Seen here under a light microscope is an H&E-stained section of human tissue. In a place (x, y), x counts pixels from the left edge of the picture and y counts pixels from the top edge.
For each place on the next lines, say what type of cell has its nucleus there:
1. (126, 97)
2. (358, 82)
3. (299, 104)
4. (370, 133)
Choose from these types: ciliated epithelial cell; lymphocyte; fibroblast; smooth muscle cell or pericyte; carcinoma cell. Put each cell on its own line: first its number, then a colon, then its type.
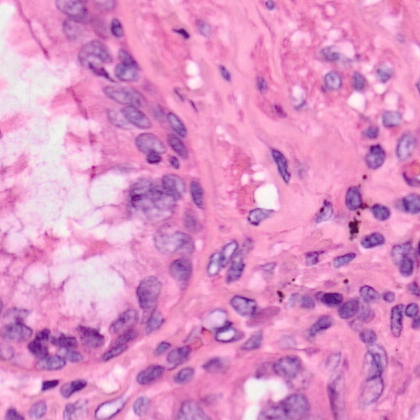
1: ciliated epithelial cell
2: smooth muscle cell or pericyte
3: smooth muscle cell or pericyte
4: smooth muscle cell or pericyte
